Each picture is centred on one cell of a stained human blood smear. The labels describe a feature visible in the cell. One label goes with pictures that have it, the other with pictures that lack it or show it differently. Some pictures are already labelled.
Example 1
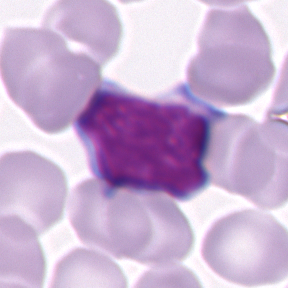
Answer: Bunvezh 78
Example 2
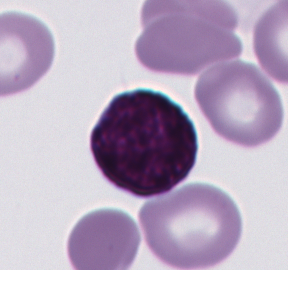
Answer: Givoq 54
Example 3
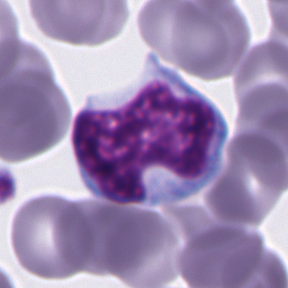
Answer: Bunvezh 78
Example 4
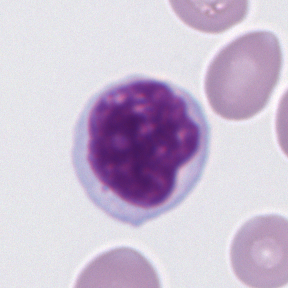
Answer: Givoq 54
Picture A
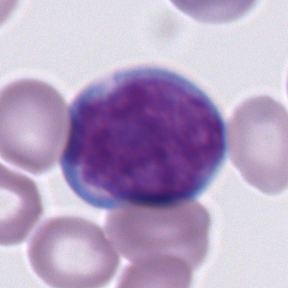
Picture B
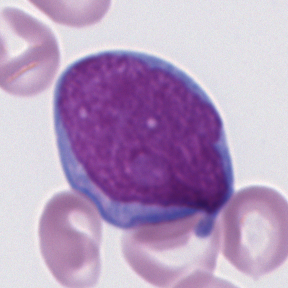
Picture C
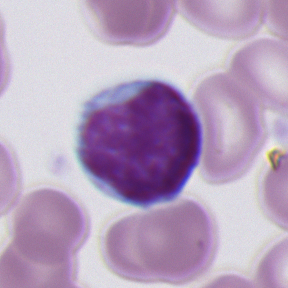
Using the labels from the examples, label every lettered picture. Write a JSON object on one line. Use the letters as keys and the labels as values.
{"A": "Givoq 54", "B": "Givoq 54", "C": "Givoq 54"}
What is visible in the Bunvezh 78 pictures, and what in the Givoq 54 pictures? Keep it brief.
Bunvezh 78, ragged outline or projections; Givoq 54, smooth outline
